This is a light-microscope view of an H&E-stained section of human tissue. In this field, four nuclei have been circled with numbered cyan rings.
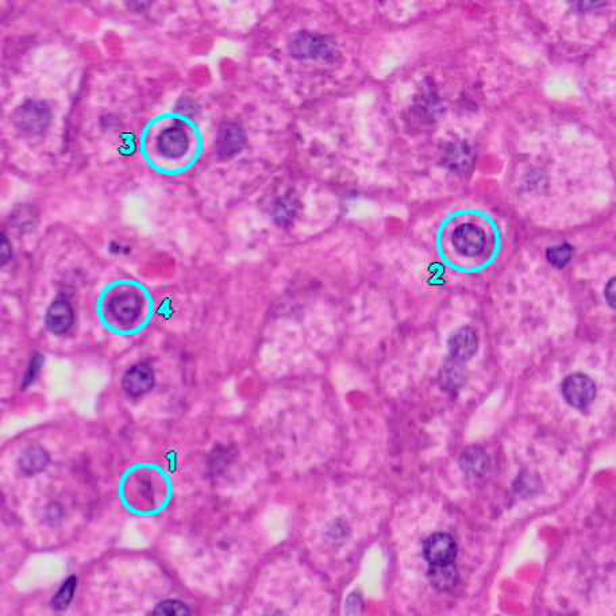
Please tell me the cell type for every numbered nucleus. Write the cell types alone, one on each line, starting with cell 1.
endothelial cell
hepatocyte
hepatocyte
hepatocyte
